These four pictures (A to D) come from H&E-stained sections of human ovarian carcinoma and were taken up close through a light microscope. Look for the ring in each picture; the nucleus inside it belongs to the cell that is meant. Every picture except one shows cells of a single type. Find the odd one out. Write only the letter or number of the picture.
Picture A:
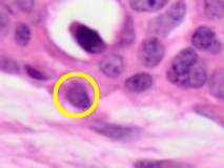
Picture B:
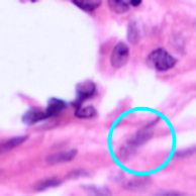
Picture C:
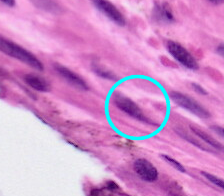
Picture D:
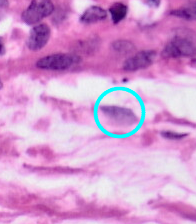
A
